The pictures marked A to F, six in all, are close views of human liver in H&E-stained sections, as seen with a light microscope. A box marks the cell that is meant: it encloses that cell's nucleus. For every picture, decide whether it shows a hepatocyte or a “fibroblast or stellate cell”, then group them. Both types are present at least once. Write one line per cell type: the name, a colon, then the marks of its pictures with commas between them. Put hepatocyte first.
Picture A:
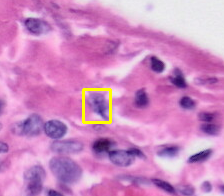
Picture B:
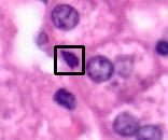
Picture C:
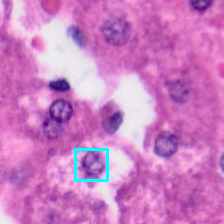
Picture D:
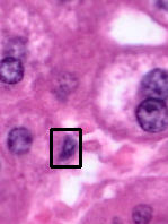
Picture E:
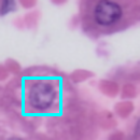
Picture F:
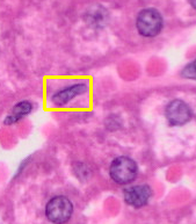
hepatocyte: C, E
fibroblast or stellate cell: A, B, D, F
